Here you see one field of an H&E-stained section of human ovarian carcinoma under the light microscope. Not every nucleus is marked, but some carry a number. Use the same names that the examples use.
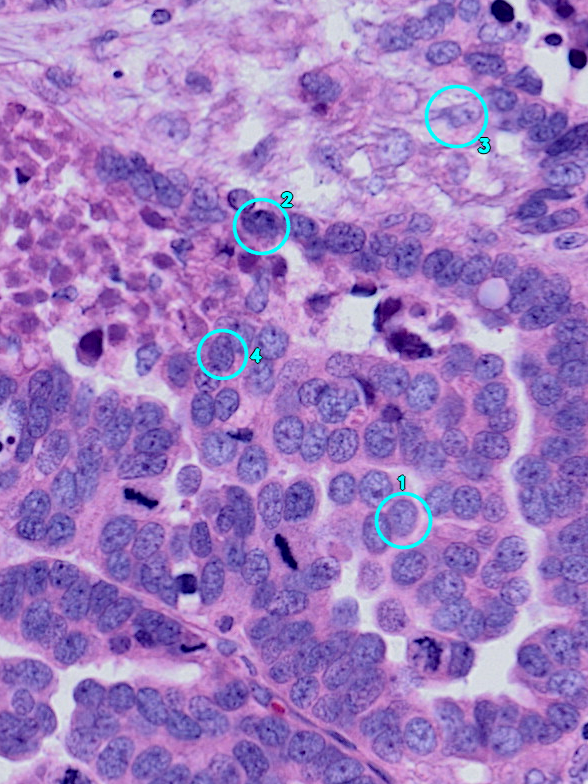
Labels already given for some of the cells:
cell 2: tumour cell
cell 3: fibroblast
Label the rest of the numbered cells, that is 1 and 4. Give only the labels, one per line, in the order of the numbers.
tumour cell
tumour cell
